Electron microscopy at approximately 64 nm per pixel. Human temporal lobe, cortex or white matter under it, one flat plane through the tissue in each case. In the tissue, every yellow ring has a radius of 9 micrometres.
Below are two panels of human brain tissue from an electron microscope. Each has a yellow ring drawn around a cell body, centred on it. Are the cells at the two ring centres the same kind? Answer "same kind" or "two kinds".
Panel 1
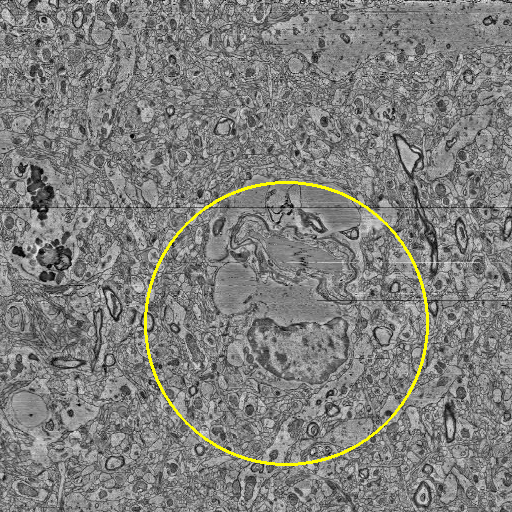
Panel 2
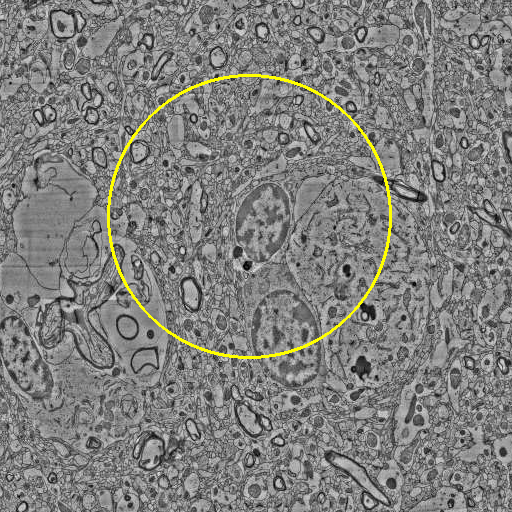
same kind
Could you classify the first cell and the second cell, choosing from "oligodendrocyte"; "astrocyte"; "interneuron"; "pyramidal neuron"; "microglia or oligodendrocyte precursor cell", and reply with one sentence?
Each of the two cells is a microglial cell or oligodendrocyte precursor cell.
